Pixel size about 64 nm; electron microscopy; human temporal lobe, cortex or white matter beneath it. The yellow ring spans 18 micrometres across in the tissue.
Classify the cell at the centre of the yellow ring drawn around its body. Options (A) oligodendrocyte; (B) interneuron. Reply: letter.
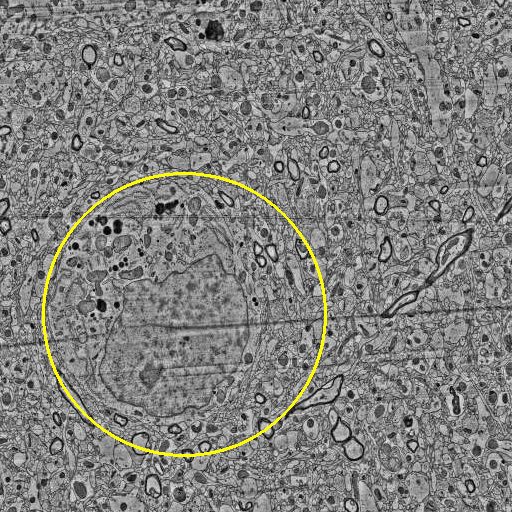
B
